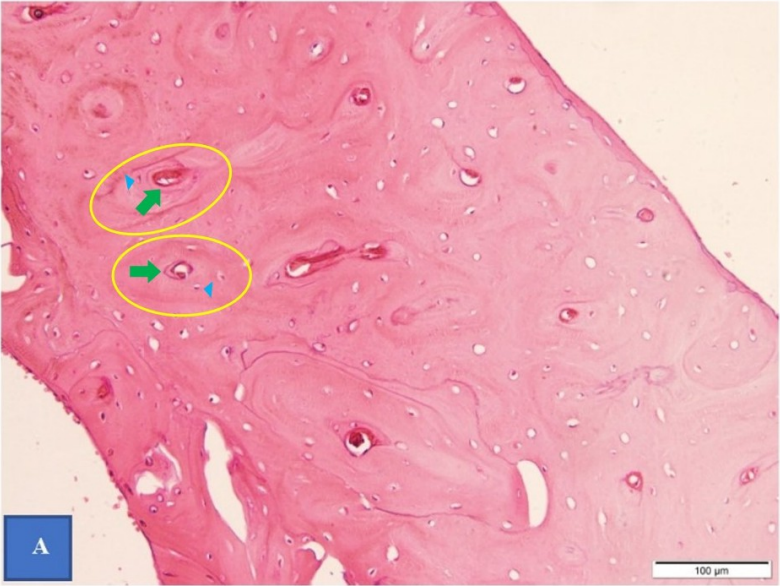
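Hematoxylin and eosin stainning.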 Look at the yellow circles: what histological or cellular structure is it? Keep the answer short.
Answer: Lamellar arrangement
